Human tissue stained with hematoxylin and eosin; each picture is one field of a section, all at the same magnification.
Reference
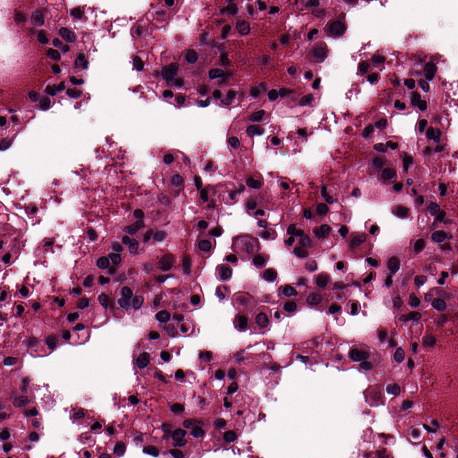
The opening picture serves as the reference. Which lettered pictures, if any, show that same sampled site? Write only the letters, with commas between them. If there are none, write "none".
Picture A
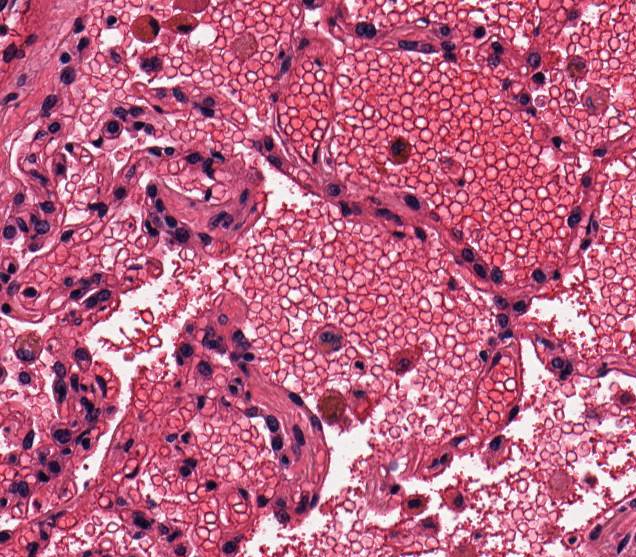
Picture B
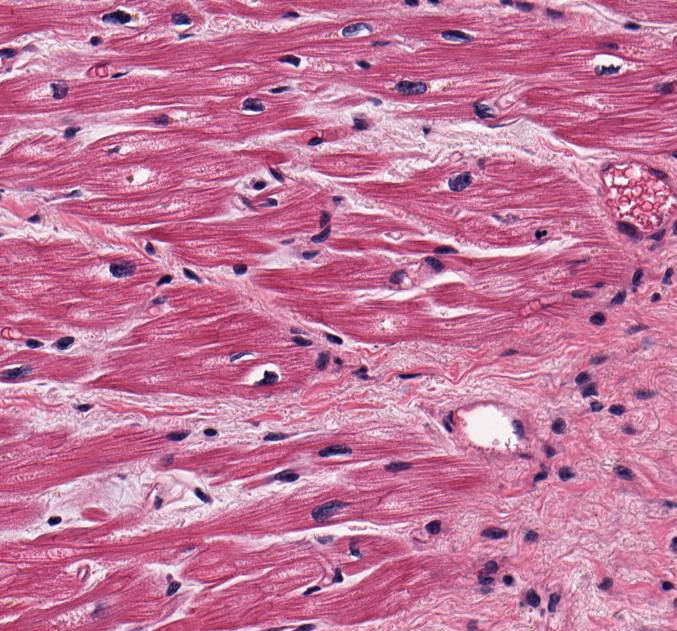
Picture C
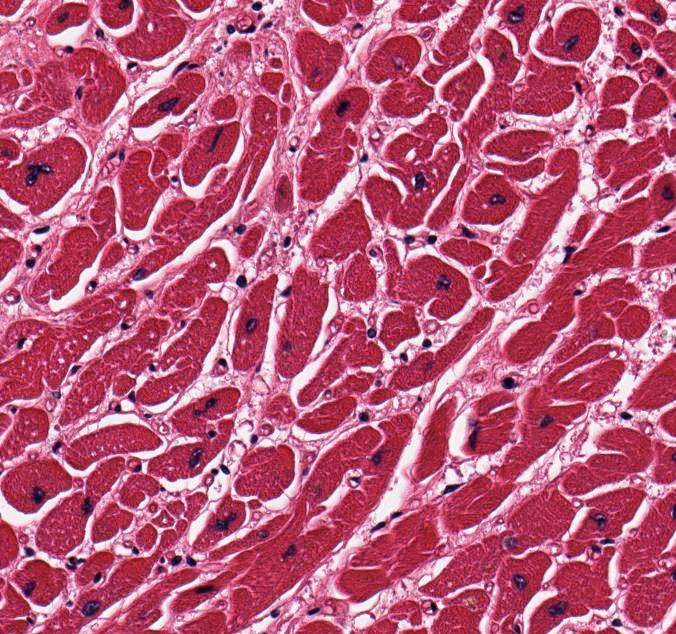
A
